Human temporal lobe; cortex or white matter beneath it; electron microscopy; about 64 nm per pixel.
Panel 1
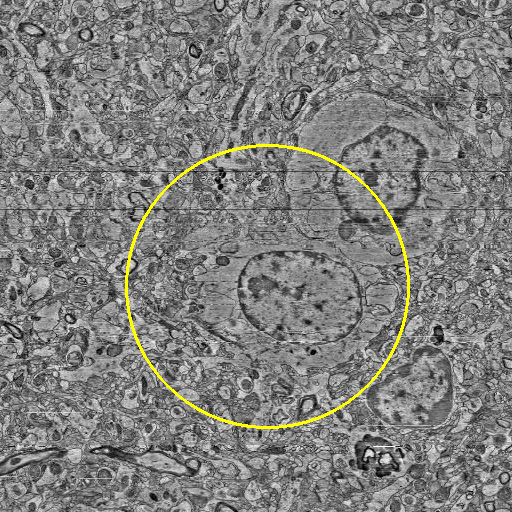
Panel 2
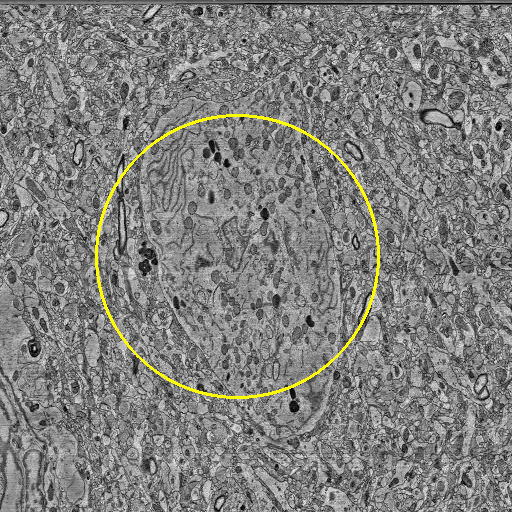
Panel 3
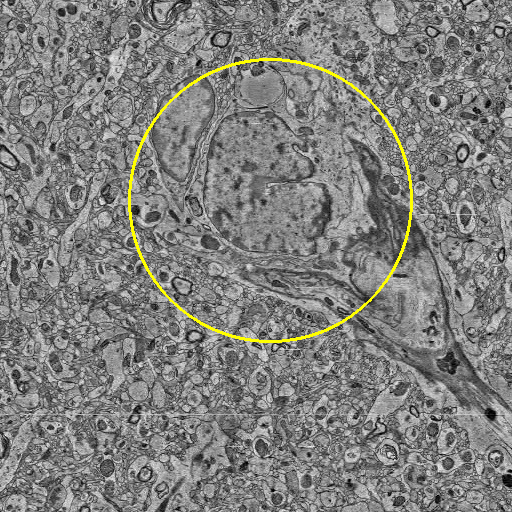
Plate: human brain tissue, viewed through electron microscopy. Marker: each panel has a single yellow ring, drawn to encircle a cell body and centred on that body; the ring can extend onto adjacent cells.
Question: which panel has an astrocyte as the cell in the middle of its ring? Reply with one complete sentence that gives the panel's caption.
Panel 1 is where the requested cell sits at the centre of the ring.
